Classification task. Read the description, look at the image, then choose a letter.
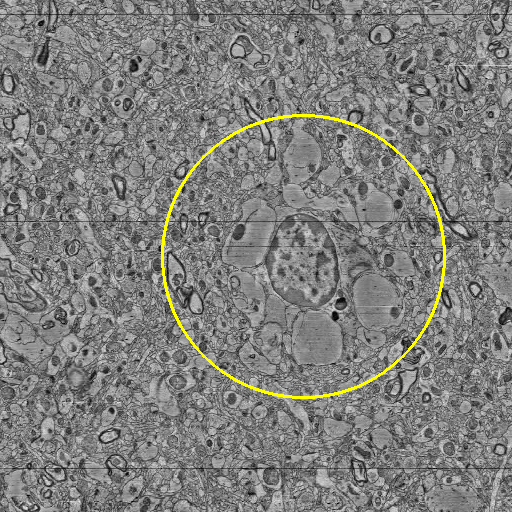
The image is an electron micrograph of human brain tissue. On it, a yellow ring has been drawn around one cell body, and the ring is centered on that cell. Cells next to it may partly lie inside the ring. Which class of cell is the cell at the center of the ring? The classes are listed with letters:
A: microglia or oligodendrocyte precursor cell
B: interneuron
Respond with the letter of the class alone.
A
